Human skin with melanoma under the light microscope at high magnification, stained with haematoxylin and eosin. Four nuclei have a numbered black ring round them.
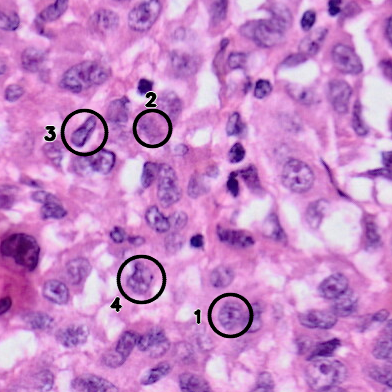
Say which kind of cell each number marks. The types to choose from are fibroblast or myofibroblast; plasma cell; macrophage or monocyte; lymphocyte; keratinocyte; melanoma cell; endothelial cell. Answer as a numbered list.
1. melanoma cell
2. melanoma cell
3. macrophage or monocyte
4. melanoma cell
